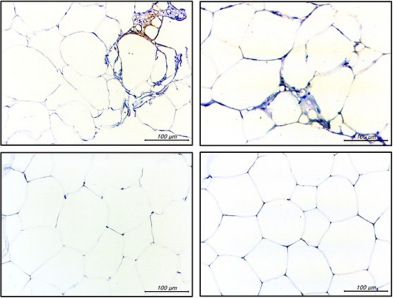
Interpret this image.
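These are sections of adipose tissue made of large, empty, polygonal fat cells with thin rims and a few flattened nuclei pressed to their edges. In the upper images, small cells with dark blue nuclei crowd into the thin septa between the fat cells, and some of them are stained brown. In the lower images, only the fat cells with sparse flat nuclei are seen, and there are no clusters of small cells.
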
